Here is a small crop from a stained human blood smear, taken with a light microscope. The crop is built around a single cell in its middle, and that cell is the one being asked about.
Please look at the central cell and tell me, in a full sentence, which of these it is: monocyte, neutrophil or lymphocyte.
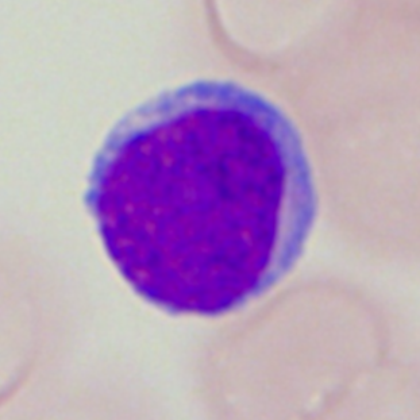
The cell positioned in the middle of the field is a lymphocyte.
